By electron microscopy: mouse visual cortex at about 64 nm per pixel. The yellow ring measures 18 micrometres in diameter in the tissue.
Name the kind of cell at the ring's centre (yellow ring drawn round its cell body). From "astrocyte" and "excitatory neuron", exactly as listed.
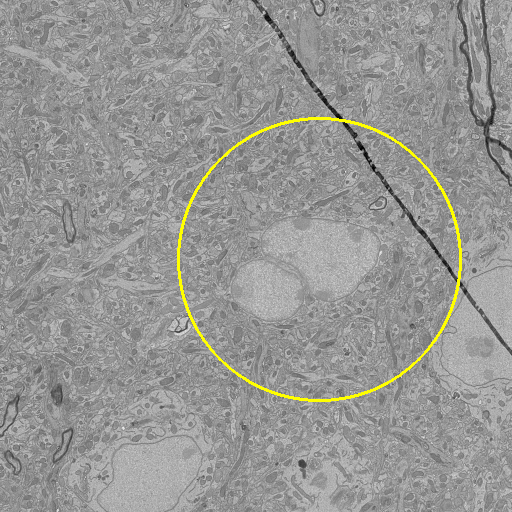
astrocyte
